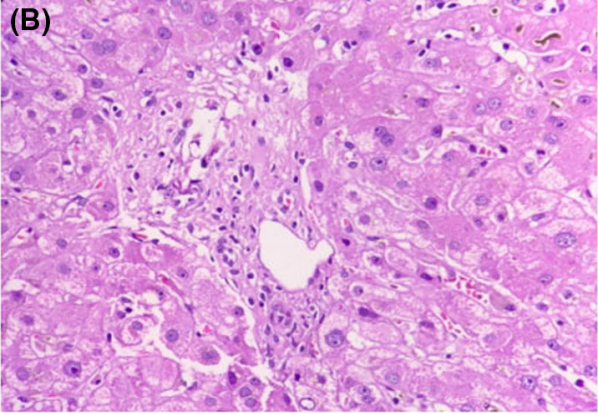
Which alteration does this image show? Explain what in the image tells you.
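Loss of bile duct in the portal tract. A portal tract with a vessel and loose stroma sits in the middle. No duct lined by cuboidal epithelium is seen within the portal tract.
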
